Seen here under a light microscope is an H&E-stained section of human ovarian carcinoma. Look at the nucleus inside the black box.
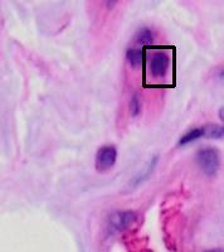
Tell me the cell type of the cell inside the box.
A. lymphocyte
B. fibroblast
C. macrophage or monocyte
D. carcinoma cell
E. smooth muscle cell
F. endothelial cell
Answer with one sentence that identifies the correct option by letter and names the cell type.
The right option is E, the cell inside the box being a smooth muscle cell.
